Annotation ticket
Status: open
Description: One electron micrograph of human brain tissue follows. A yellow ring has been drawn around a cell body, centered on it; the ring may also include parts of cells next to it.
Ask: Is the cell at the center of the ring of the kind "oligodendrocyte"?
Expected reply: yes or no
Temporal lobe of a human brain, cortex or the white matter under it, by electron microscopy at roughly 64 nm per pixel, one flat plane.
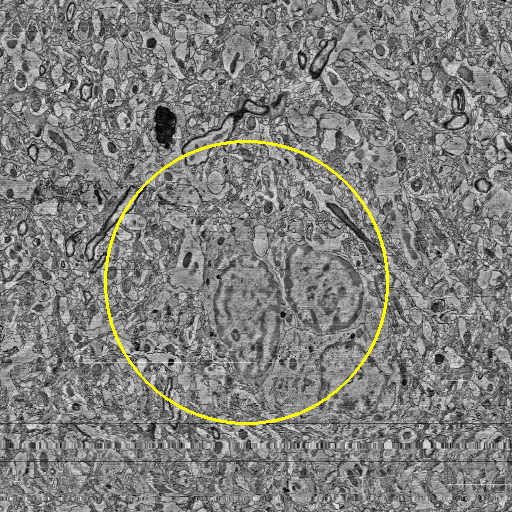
yes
